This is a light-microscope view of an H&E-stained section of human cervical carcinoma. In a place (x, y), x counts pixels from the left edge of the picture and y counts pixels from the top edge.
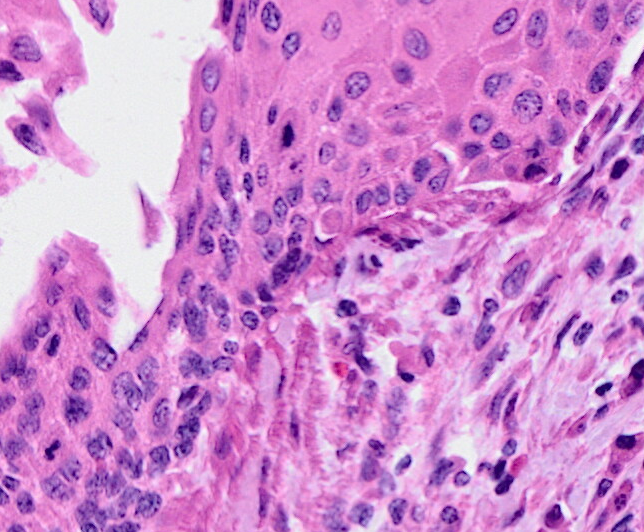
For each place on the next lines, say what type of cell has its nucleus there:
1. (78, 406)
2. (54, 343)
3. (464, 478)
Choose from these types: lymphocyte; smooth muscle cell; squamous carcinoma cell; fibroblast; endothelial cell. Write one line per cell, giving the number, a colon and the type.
1: squamous carcinoma cell
2: squamous carcinoma cell
3: lymphocyte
